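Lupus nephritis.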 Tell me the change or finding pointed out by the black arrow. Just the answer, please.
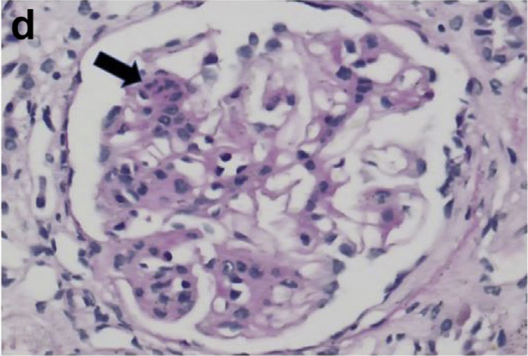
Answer: Endocapillary hypercellularity.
